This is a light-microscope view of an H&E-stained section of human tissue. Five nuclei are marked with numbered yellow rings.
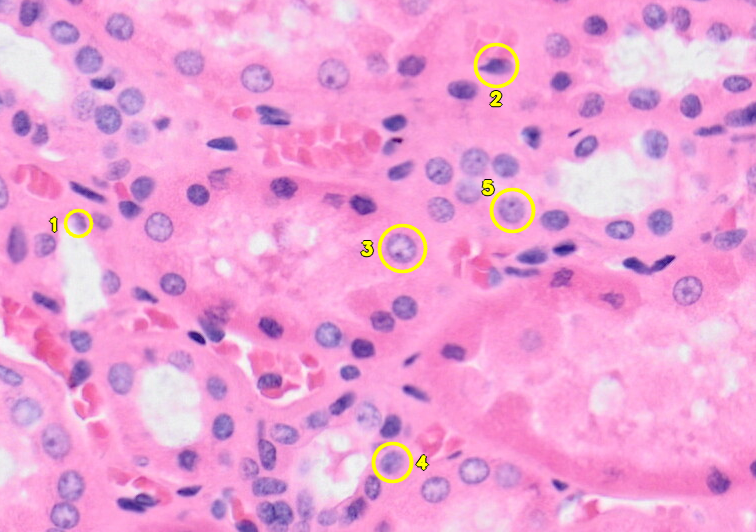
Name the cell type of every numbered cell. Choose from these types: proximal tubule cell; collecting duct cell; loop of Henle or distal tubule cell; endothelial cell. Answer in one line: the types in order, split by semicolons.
loop of Henle or distal tubule cell; endothelial cell; proximal tubule cell; collecting duct cell; loop of Henle or distal tubule cell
